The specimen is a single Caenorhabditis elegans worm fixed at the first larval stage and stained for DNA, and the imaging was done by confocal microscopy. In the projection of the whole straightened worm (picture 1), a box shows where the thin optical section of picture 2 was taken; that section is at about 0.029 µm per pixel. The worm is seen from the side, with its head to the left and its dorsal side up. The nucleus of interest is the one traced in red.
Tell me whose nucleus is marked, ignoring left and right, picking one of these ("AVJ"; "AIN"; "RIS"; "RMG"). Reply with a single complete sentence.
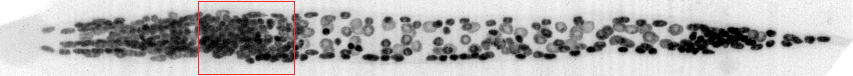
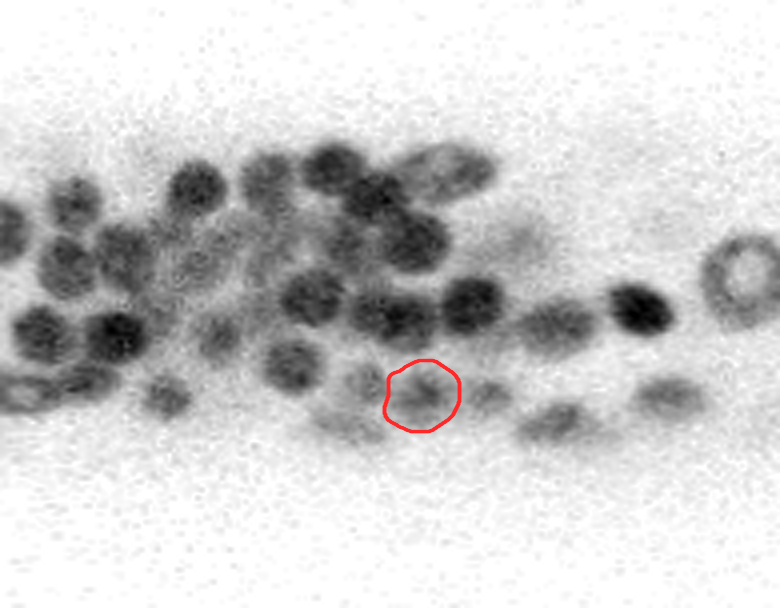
The marked cell is RIS, a neuron.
